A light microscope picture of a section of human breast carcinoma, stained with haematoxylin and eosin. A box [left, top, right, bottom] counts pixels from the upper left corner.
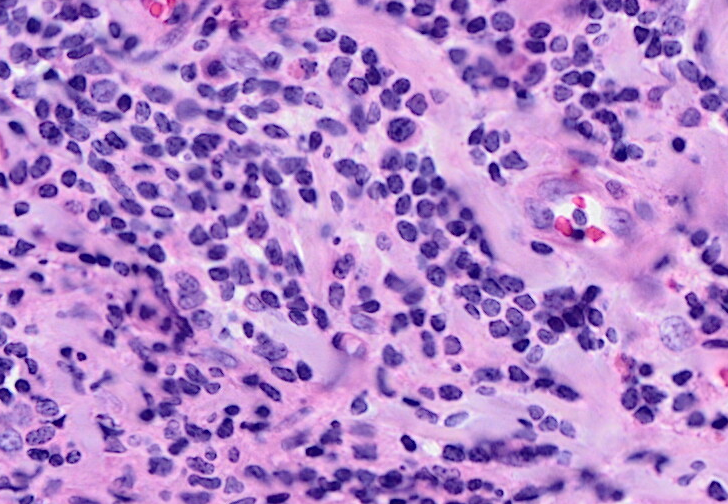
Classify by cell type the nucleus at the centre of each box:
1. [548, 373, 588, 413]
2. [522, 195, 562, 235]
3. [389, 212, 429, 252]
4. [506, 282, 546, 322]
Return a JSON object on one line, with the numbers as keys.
{"1": "lymphocyte", "2": "endothelial cell", "3": "lymphocyte", "4": "lymphocyte"}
